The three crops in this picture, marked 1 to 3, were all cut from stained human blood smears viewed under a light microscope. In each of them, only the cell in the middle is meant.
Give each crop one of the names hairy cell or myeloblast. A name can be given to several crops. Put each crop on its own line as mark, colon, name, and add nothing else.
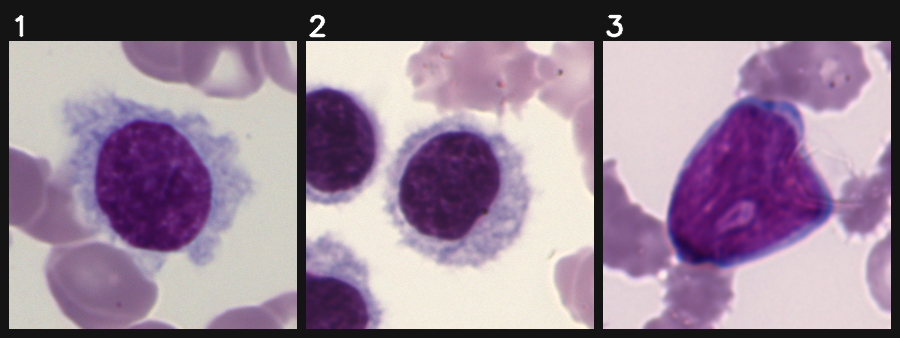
1: hairy cell
2: hairy cell
3: myeloblast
